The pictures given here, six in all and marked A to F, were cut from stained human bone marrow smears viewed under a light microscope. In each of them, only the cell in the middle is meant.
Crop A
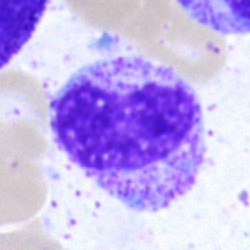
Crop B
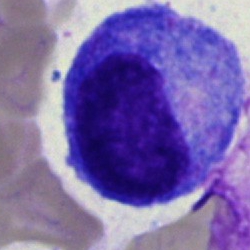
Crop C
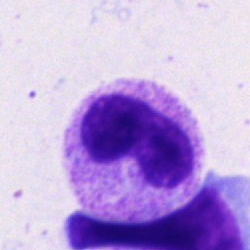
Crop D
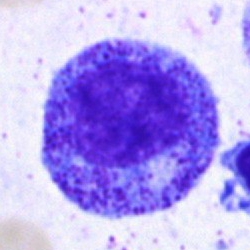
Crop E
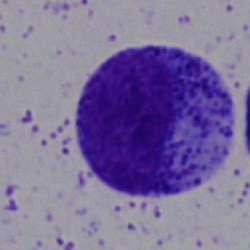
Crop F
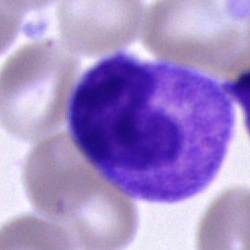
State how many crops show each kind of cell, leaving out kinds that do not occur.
metamyelocyte: 3
promyelocyte: 3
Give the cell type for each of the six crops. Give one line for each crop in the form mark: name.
A: metamyelocyte
B: promyelocyte
C: metamyelocyte
D: promyelocyte
E: promyelocyte
F: metamyelocyte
